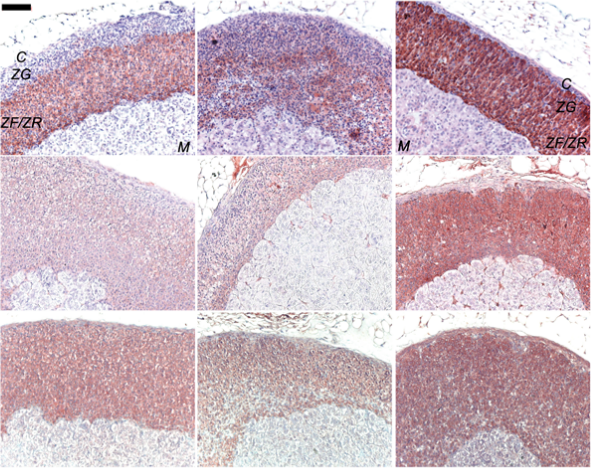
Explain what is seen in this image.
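Reddish-brown staining occupies the cortex to differing degrees in the different images, while the medulla remains pale and bluish from the counterstain. In some images the staining is strongest in the inner cortex, and in others it extends across the whole cortical band up to the capsule.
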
